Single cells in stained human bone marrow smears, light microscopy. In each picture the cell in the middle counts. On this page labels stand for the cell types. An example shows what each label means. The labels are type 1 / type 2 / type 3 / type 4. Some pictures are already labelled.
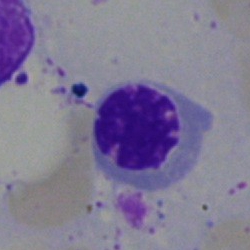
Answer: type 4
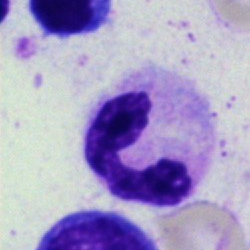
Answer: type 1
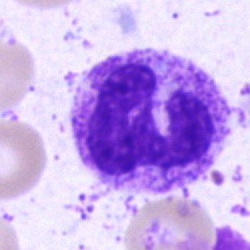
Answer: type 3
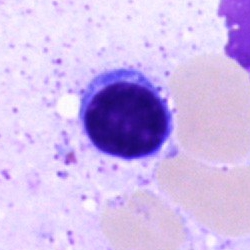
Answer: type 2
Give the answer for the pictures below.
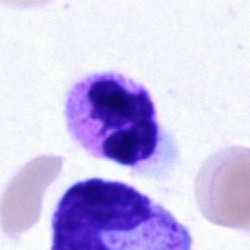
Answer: type 3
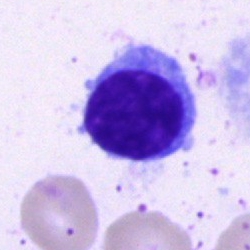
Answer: type 2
